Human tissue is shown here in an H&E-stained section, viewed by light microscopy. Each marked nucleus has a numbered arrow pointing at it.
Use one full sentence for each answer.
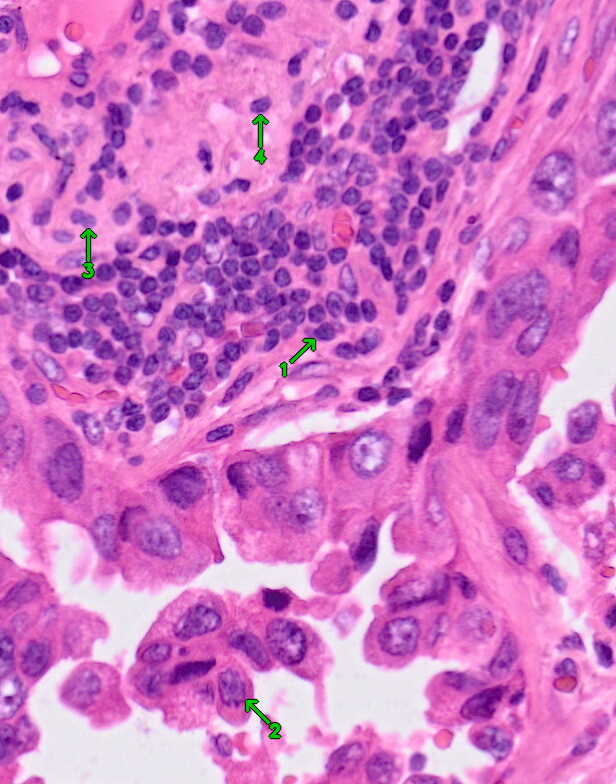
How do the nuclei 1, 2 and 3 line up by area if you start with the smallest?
The order from the smallest nucleus to the largest is 3, 1, 2.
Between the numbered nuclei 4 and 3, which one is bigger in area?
Nucleus 4 is the larger one, covering about 2 times the area of nucleus 3.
